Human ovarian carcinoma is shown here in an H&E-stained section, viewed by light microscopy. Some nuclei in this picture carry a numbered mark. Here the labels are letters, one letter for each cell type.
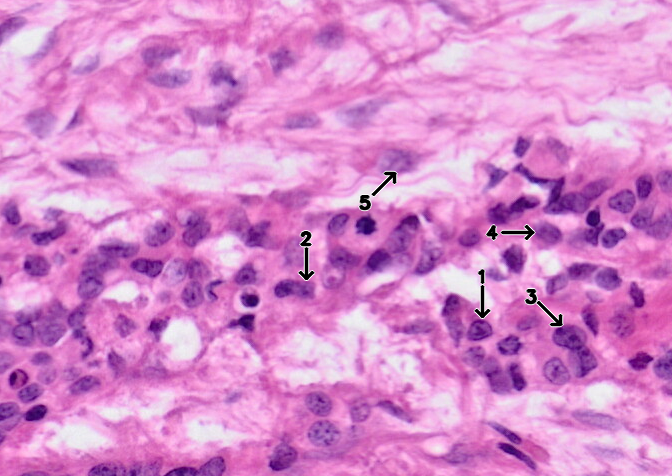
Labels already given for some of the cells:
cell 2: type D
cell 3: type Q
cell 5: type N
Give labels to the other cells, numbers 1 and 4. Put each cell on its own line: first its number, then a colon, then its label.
1: type D
4: type Q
